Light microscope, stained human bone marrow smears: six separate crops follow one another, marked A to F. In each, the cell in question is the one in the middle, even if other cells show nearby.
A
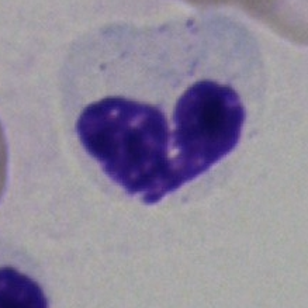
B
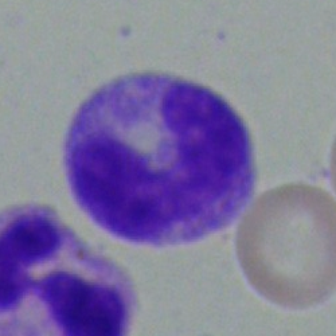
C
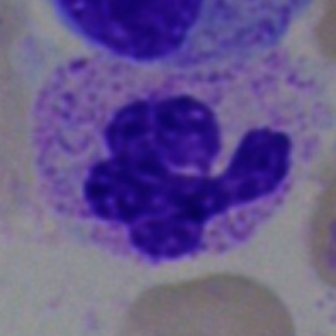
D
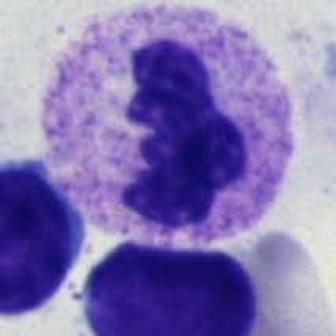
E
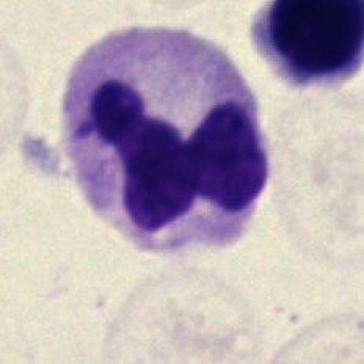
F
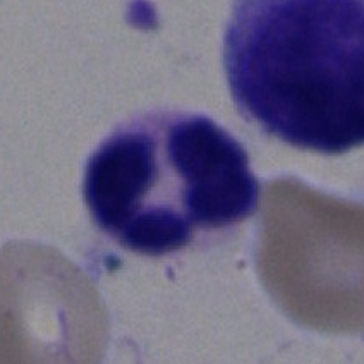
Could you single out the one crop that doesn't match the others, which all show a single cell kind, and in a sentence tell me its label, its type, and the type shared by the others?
Unlike the rest, which all show segmented neutrophils, crop B contains a band neutrophil.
